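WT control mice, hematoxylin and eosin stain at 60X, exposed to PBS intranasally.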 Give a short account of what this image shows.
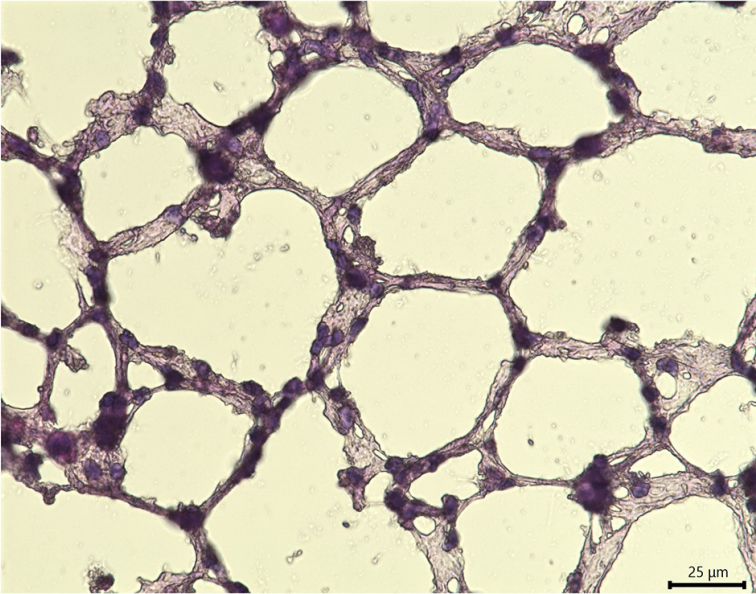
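The tissue is a delicate meshwork of thin septa surrounding large, empty, rounded spaces. The septa are slender and pale pink to lilac. They carry scattered small purple nuclei, with occasional small clusters where the septa meet. The spaces are clear and hold no cells or foamy material. Overall the tissue is sparsely cellular.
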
